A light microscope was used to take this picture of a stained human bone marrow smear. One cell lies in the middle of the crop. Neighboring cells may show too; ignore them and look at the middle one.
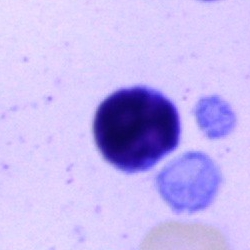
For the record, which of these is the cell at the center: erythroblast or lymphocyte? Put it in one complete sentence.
This particular crop is centered on a lymphocyte.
